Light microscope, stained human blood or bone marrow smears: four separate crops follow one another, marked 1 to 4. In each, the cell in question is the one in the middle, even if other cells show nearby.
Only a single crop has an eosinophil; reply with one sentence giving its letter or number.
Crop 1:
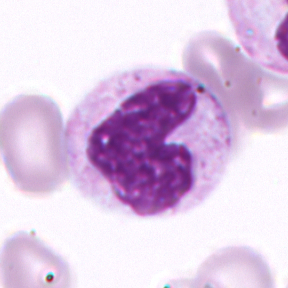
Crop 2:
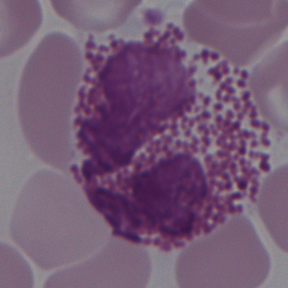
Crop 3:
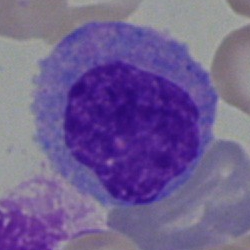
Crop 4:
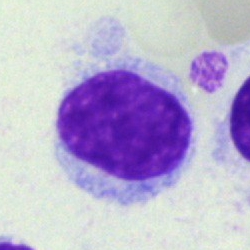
The crop bearing an eosinophil is crop 2.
